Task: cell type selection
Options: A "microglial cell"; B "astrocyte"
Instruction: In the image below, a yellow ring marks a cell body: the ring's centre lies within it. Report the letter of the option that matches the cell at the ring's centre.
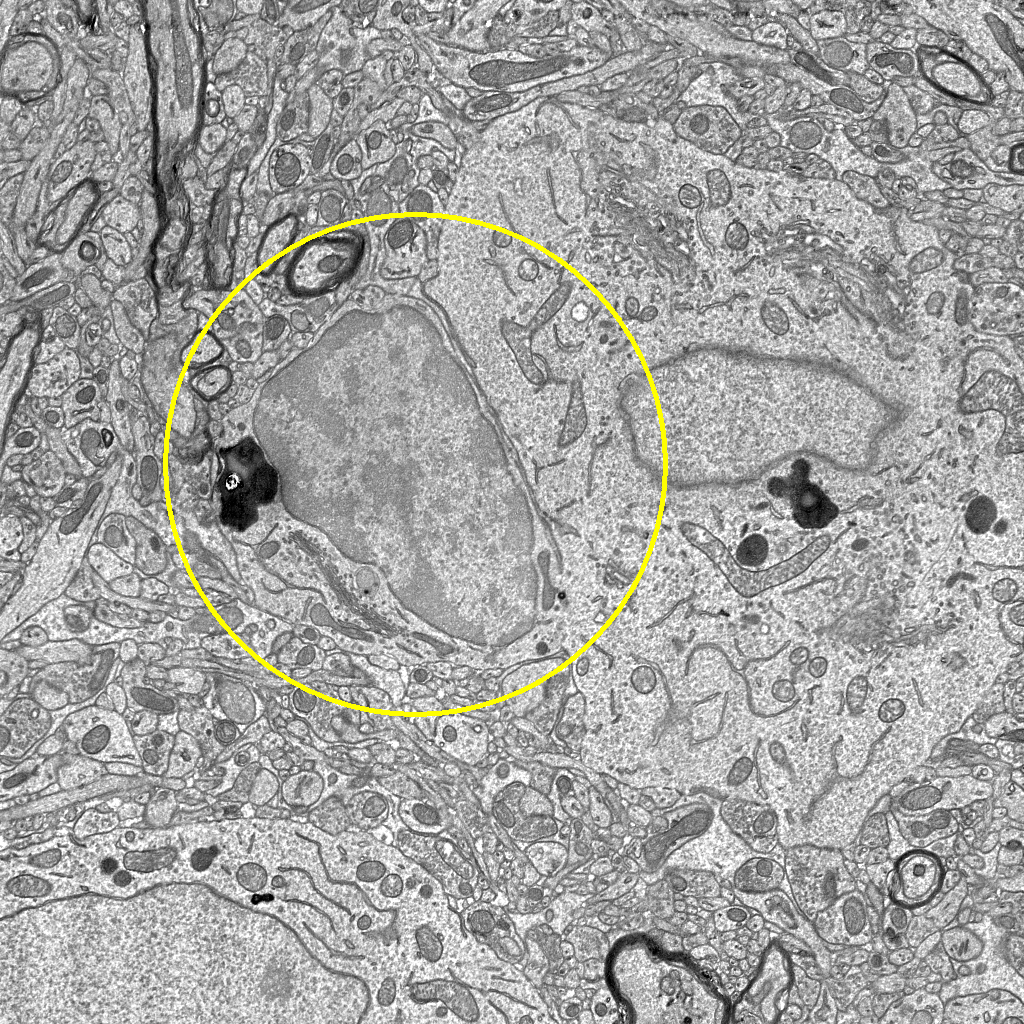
A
